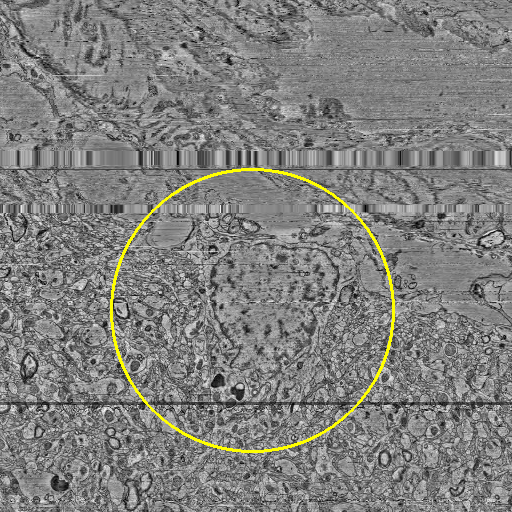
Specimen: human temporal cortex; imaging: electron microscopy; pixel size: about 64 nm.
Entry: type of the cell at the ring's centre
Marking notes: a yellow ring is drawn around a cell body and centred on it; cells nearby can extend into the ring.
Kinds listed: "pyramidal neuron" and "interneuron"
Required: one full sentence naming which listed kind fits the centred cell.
My entry names an interneuron as the cell whose body the yellow ring centres on.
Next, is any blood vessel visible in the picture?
Yes, a vessel appears in the picture.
